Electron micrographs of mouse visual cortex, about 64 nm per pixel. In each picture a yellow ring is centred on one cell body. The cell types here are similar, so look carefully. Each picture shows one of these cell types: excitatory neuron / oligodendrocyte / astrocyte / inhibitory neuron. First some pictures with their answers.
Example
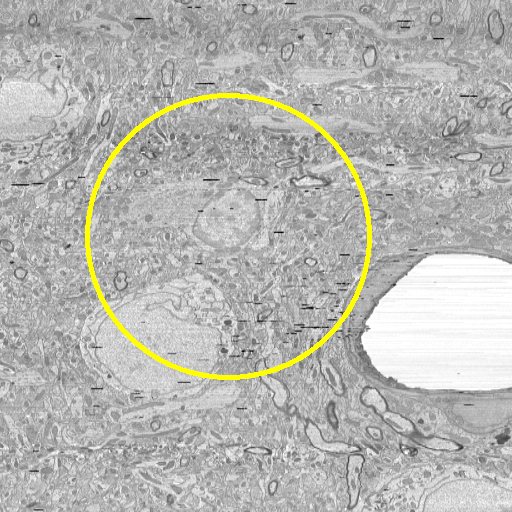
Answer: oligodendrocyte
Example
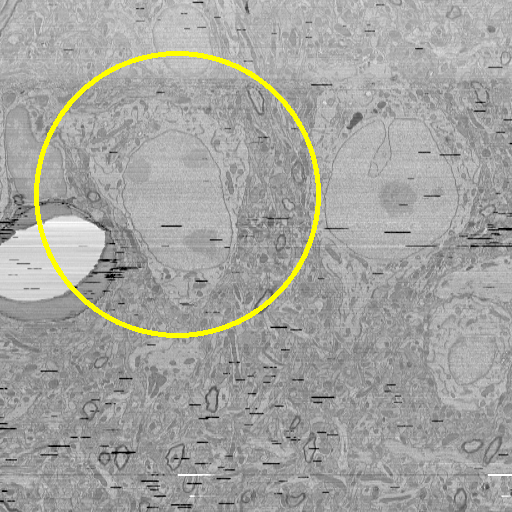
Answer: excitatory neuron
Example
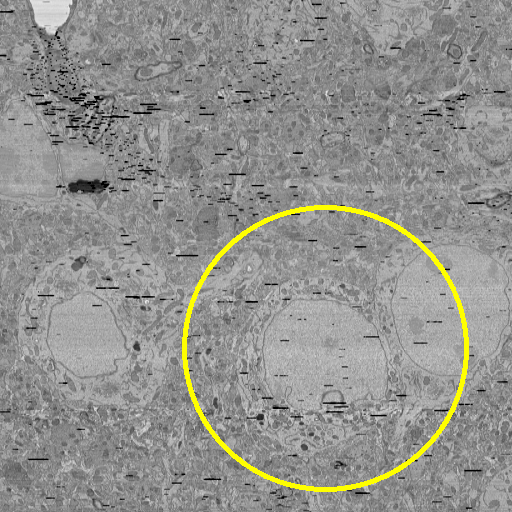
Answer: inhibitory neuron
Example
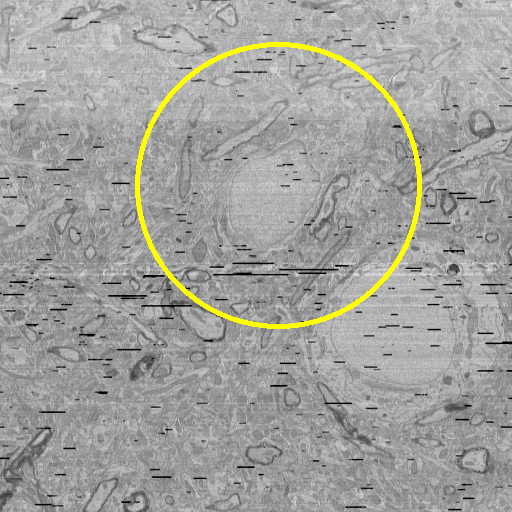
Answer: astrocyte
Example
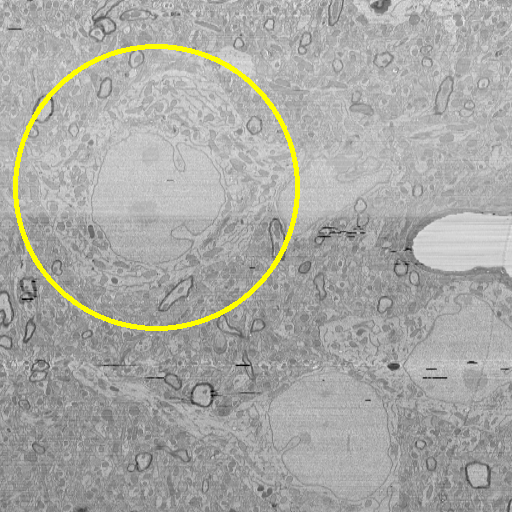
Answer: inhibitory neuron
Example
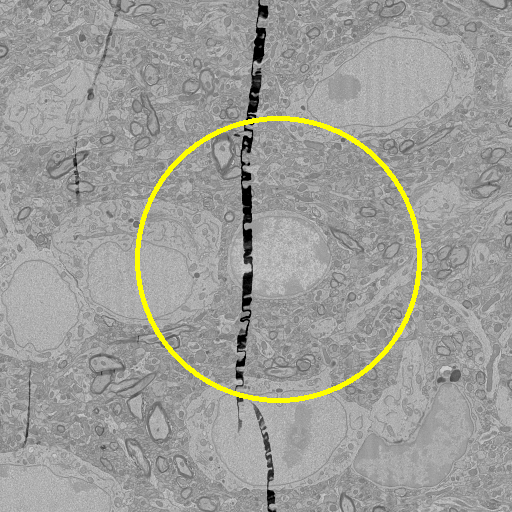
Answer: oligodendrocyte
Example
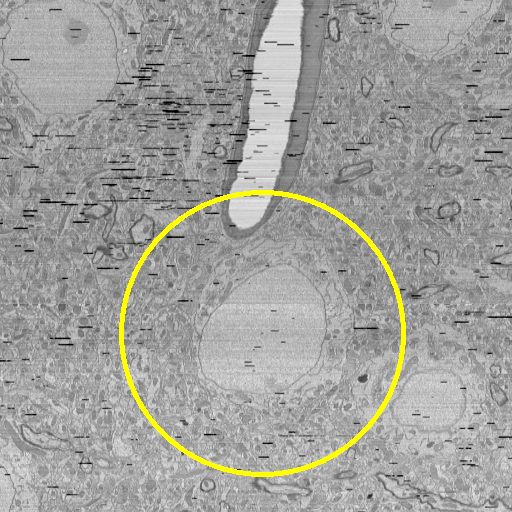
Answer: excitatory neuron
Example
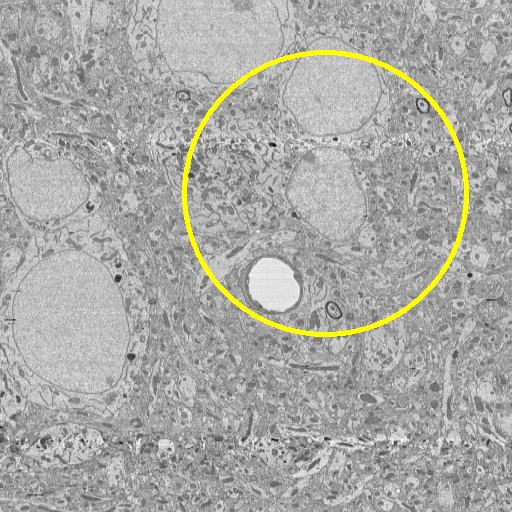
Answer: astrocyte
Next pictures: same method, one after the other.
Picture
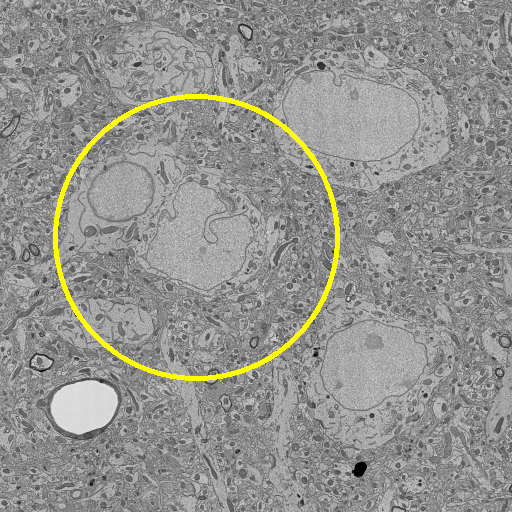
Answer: inhibitory neuron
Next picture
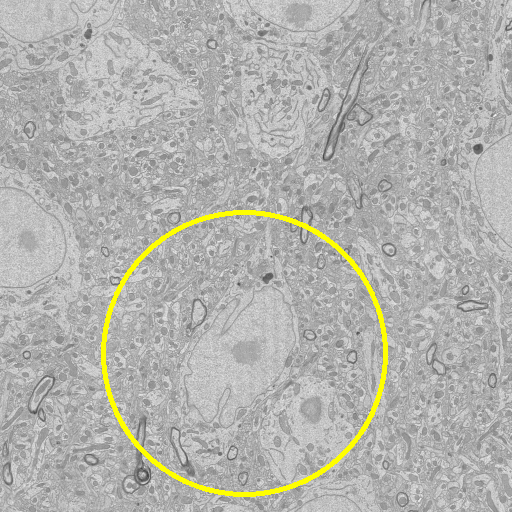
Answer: inhibitory neuron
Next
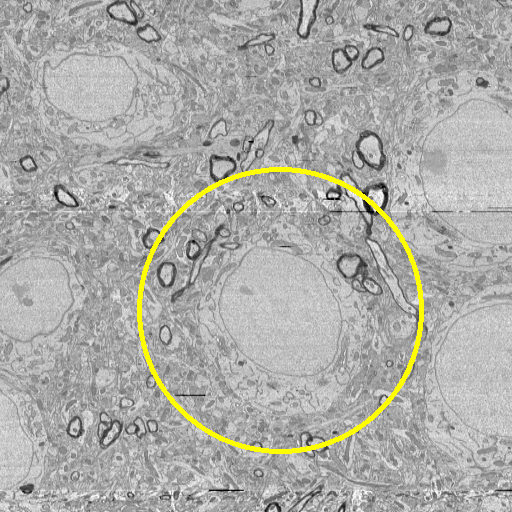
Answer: excitatory neuron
